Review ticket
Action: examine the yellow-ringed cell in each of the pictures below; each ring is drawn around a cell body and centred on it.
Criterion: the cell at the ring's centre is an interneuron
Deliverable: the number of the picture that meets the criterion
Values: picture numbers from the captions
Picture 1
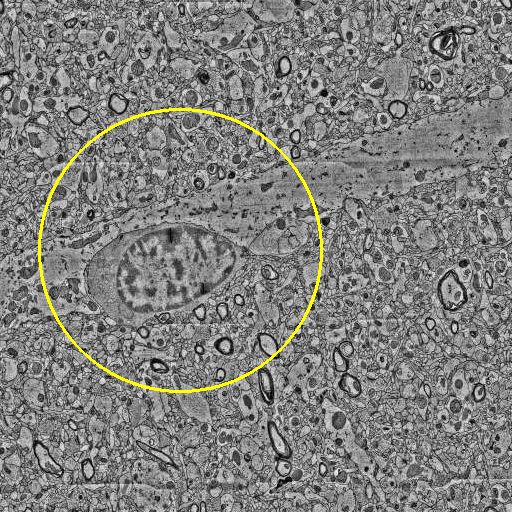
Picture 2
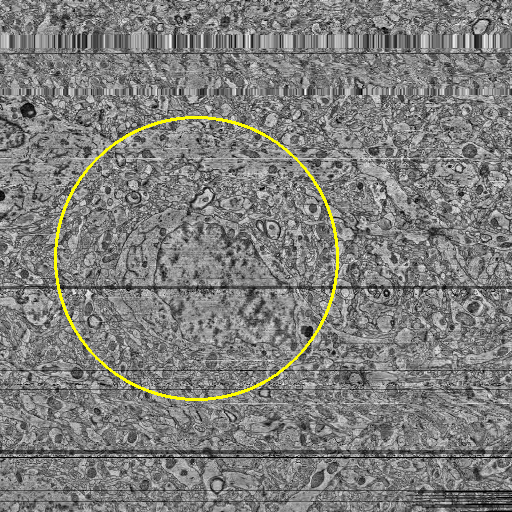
2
